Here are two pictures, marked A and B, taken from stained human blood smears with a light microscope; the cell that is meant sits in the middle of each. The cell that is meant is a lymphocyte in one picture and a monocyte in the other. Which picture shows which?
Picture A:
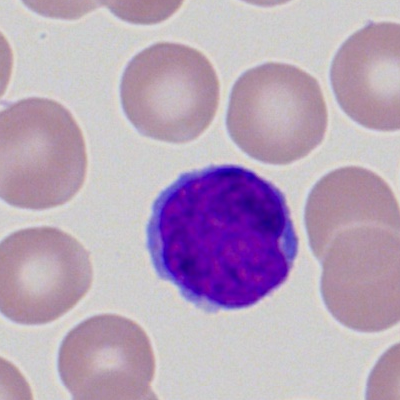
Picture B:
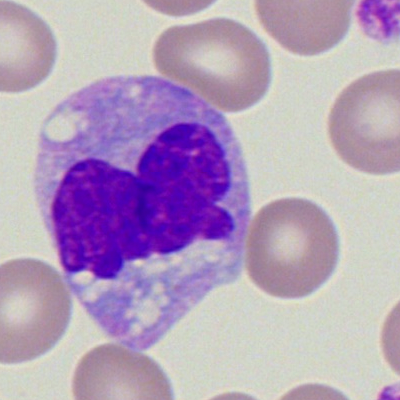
A: lymphocyte
B: monocyte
